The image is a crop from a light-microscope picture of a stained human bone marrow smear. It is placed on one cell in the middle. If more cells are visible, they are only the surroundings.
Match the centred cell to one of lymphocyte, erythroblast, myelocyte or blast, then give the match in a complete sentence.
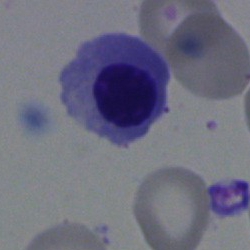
Centrally within this crop lies an erythroblast.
